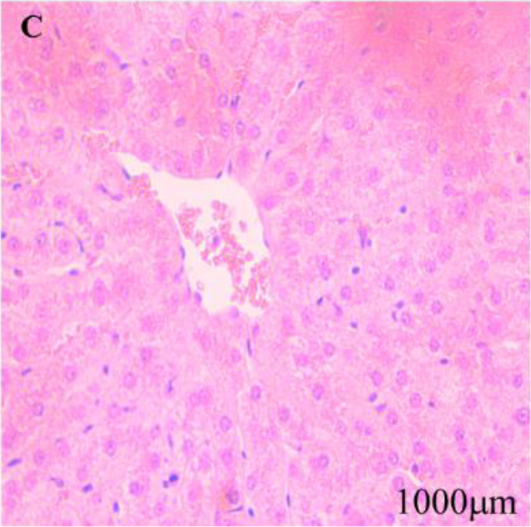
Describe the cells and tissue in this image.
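This is liver tissue at higher magnification, made up almost entirely of hepatocytes. They are large polygonal cells with pink, finely granular cytoplasm, each holding a round, centrally placed nucleus with a small dark nucleolus; a few cells look binucleate. The hepatocytes line up in cords that run toward a central vessel with an irregular clear lumen containing clumped red blood cells. Between the cords narrow sinusoidal spaces can be made out, with small dark elongated nuclei of lining cells.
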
